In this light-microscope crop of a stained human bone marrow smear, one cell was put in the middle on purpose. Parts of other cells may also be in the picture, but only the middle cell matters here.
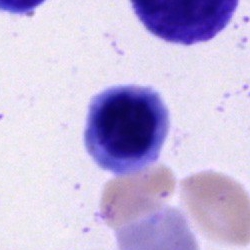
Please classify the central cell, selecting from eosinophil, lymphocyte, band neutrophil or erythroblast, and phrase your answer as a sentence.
The target cell in the middle of the crop is an erythroblast.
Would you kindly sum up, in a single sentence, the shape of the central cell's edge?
Smooth outline, no projections: that is the whole story of its edge.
